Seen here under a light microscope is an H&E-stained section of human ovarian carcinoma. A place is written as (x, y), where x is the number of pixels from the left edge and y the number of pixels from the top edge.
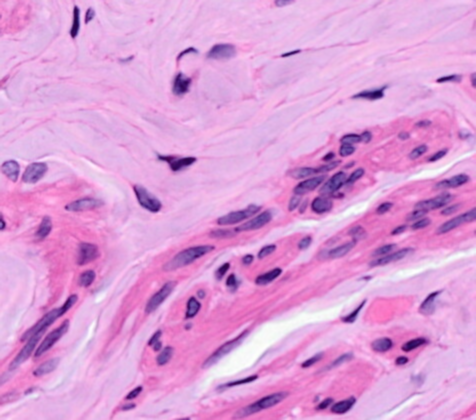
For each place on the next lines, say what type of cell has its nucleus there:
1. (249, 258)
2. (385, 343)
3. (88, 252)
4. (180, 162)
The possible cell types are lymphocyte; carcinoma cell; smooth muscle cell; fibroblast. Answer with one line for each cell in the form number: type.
1: smooth muscle cell
2: smooth muscle cell
3: smooth muscle cell
4: fibroblast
